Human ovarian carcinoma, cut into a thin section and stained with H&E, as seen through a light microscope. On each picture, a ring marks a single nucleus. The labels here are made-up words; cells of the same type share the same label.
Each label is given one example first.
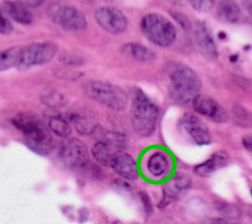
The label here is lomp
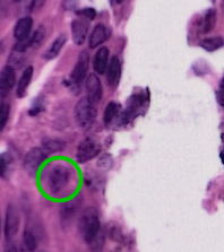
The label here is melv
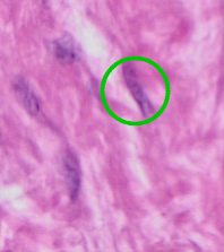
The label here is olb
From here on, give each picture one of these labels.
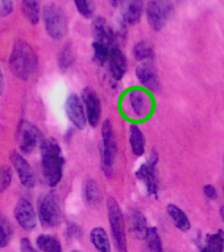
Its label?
lomp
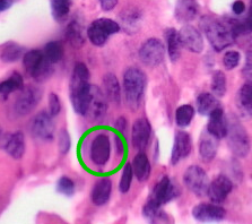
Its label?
melv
